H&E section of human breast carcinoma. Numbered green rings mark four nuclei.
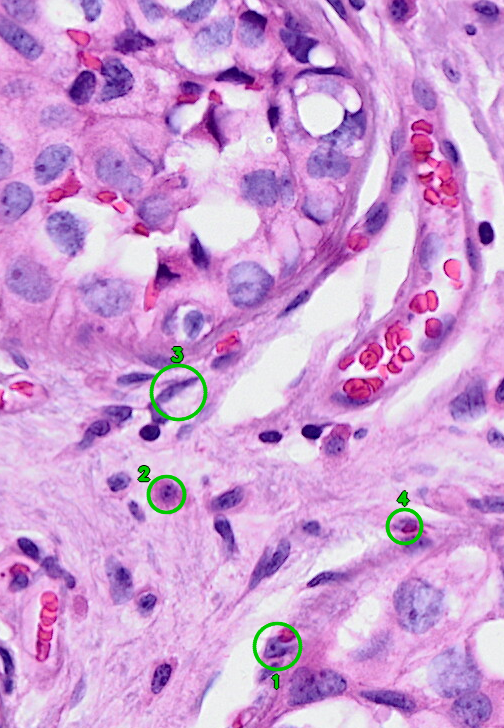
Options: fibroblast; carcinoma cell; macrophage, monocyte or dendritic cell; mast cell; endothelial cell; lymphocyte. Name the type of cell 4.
endothelial cell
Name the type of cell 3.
fibroblast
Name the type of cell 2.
mast cell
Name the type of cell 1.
endothelial cell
